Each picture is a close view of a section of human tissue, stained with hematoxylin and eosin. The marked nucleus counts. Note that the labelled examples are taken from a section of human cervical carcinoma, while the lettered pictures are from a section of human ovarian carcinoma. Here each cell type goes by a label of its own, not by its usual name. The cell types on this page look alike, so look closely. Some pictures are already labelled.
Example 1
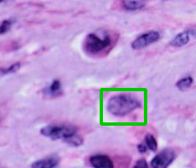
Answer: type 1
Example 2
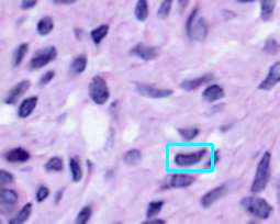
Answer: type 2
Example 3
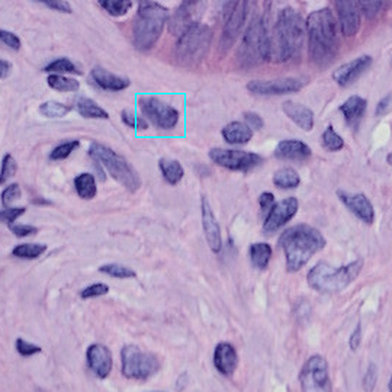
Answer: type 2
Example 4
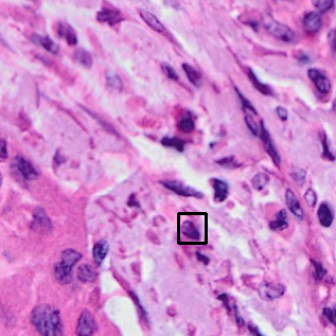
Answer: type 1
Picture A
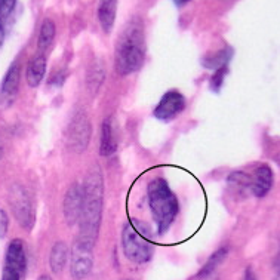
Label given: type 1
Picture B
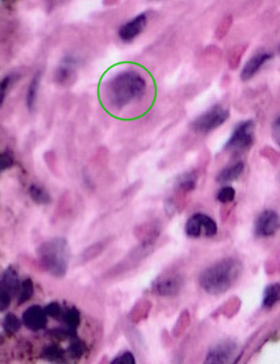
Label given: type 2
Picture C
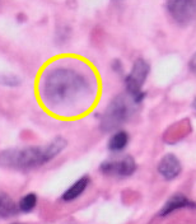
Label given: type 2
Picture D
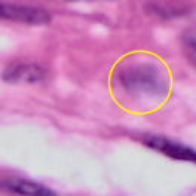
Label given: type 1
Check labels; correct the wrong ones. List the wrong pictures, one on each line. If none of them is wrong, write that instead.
D: change type 1 to type 2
